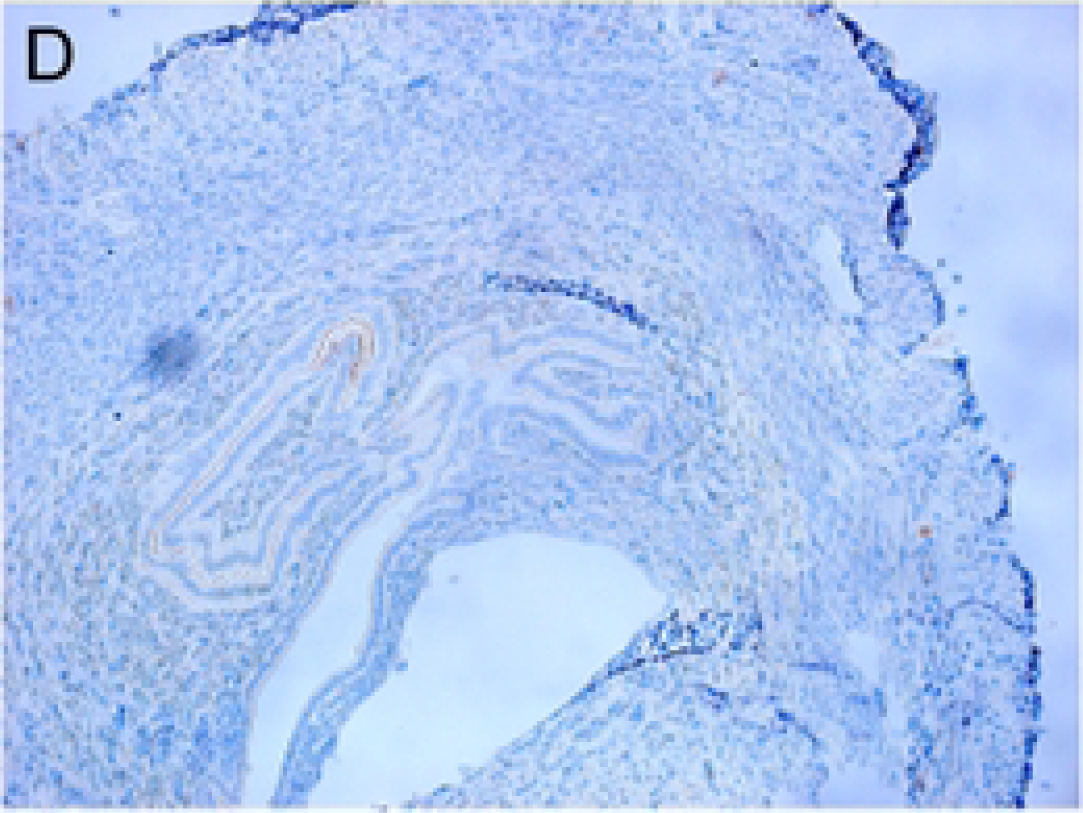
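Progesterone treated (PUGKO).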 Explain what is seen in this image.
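The epithelium forms a continuous pale sheet of closely packed cells thrown into folds. The surrounding stroma is dense and stained blue. No ring-shaped gland profiles are seen in the stroma. Brown staining is essentially absent, apart from a few faint spots.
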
